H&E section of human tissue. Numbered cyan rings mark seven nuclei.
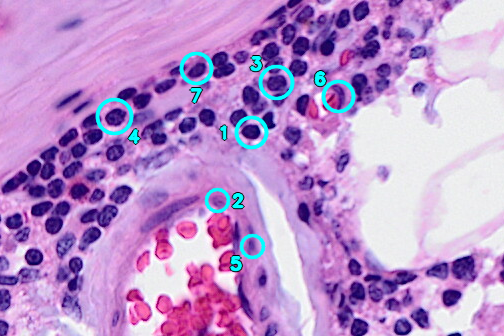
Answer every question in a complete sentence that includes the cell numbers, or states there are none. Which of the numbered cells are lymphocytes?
Here, the cells that carry numbers 1, 3, 4 and 7 are lymphocytes.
